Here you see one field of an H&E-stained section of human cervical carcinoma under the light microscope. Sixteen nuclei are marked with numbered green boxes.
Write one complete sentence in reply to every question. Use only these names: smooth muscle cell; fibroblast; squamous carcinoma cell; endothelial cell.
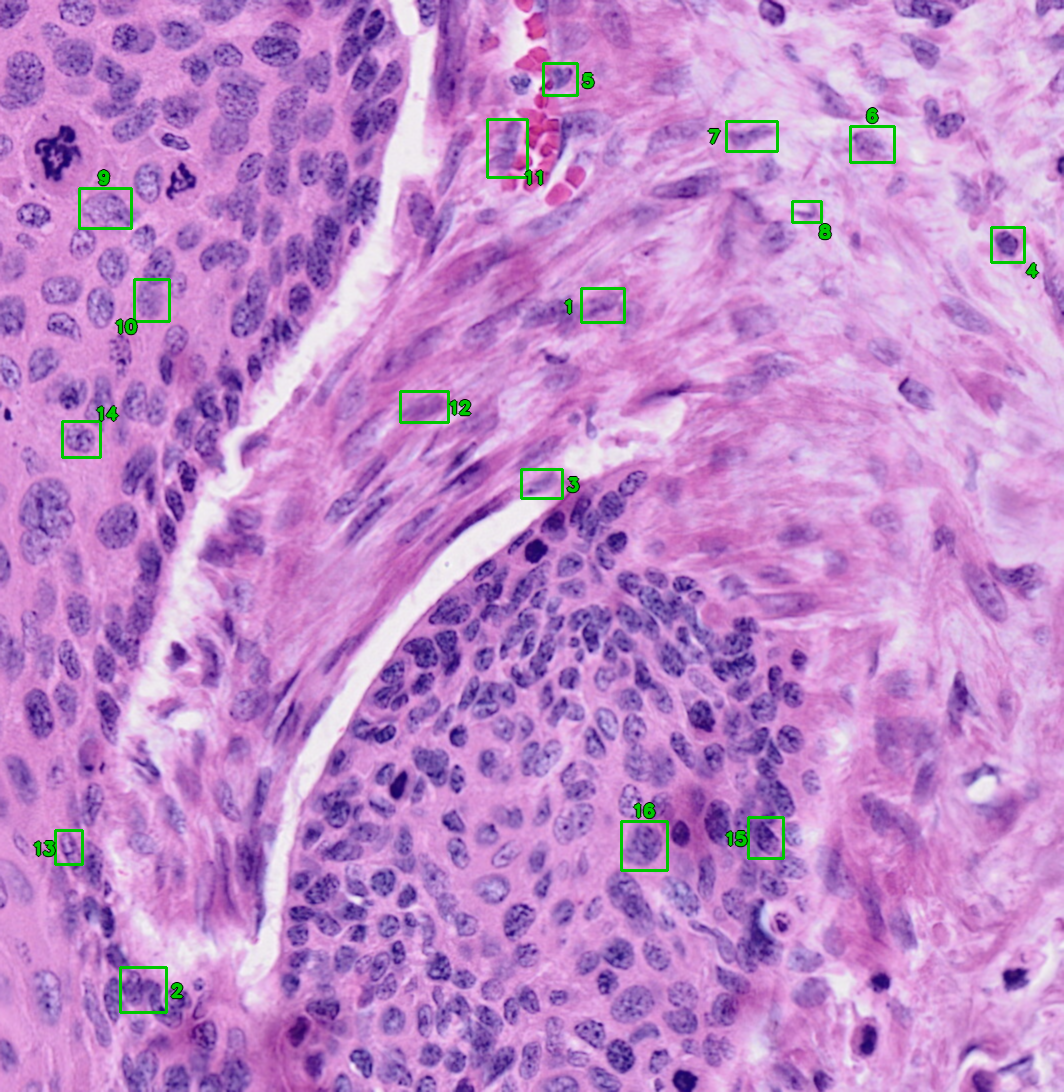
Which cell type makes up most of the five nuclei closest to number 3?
Squamous carcinoma cells make up most of the five nuclei closest to number 3.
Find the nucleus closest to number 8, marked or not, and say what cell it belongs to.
Closest to number 8 lies the nucleus of a fibroblast.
